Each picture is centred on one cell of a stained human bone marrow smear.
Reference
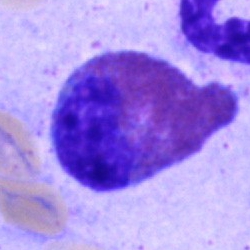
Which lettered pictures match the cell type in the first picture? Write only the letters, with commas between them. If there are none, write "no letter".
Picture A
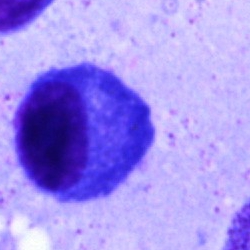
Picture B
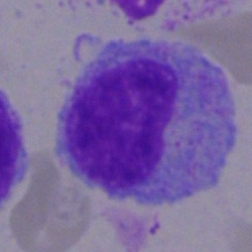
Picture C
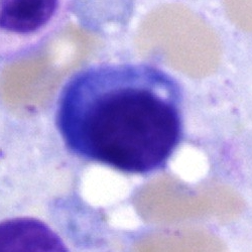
no letter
